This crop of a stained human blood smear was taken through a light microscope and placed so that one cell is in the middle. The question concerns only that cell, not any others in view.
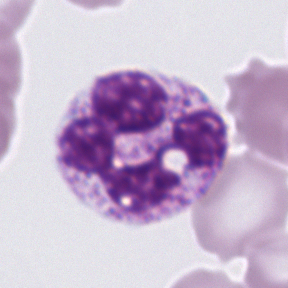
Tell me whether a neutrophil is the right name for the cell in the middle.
yes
